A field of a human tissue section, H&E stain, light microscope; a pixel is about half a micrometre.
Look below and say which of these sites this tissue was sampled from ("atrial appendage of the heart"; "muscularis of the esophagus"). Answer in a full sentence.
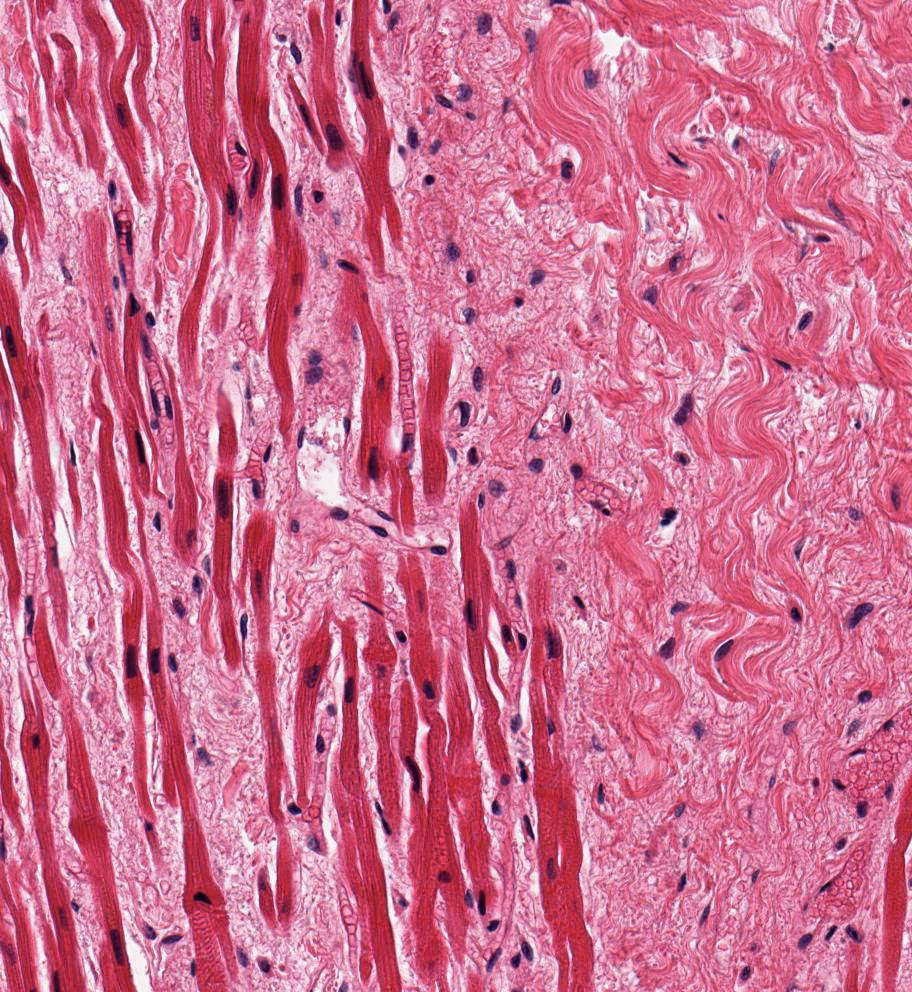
The site this tissue was sampled from is the atrial appendage of the heart.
